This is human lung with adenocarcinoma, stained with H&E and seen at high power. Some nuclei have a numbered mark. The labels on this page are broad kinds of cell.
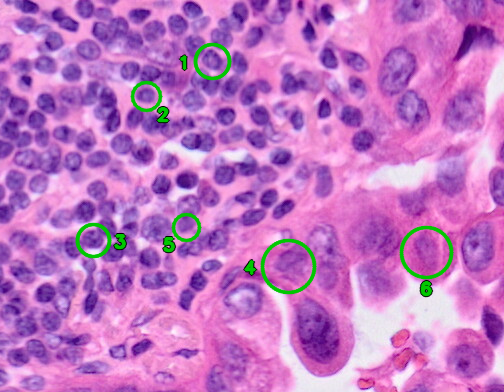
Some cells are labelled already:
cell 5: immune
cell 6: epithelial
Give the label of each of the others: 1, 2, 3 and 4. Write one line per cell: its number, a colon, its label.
1: immune
2: immune
3: immune
4: epithelial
